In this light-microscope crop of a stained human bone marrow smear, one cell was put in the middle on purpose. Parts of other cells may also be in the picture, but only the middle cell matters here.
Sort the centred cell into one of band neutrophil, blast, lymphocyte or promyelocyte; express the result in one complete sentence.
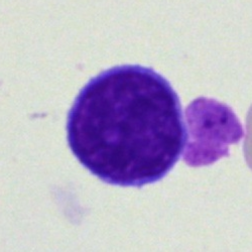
What the crop centres on is a lymphocyte.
